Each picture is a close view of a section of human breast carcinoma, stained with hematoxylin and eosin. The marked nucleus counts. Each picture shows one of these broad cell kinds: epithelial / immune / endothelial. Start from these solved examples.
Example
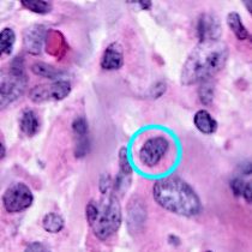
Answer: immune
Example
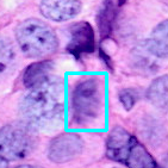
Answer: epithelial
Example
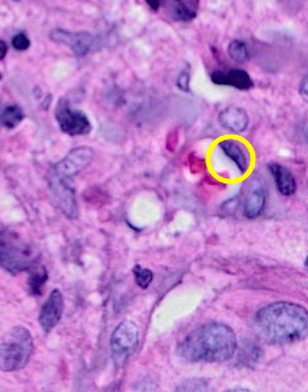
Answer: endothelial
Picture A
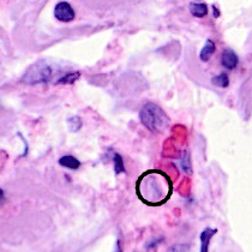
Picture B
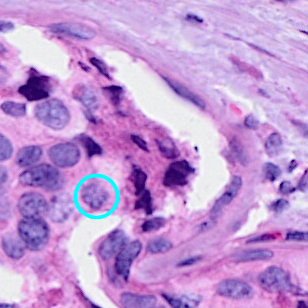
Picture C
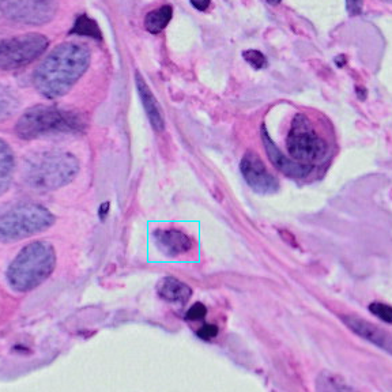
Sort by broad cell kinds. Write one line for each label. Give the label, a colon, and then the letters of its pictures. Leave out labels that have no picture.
epithelial: B
immune: C
endothelial: A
